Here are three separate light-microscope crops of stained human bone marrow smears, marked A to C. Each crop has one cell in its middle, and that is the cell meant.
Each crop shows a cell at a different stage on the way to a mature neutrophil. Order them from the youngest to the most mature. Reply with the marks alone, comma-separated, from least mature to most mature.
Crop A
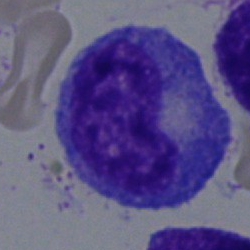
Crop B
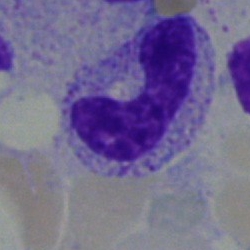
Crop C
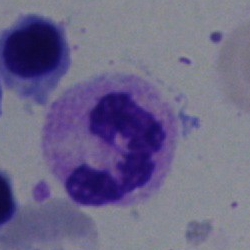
A, B, C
